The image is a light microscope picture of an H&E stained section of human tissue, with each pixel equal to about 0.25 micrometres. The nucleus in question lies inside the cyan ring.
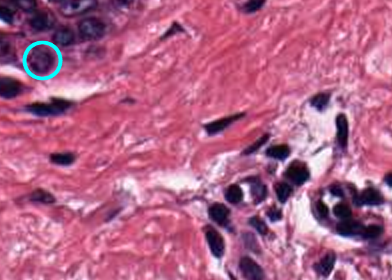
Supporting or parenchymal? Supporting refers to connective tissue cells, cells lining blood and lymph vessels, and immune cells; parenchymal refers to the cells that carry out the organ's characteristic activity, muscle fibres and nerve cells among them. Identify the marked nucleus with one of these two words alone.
parenchymal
